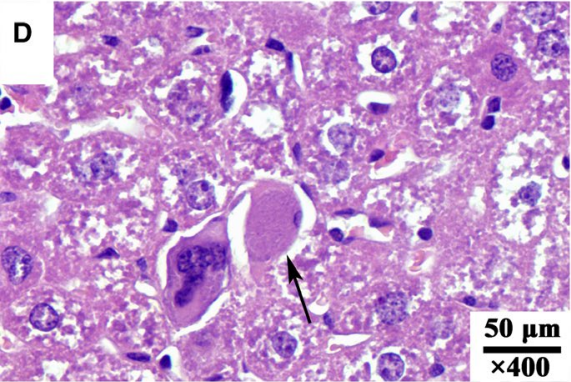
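This is a high-magnification view of liver with hepatocytes whose cytoplasm looks pale, granular and partly cleared, around round nuclei with visible nucleoli. In the middle lies an acidophilic body, a rounded, homogeneous pink body without visible nuclear detail. It is separated from its surroundings by a clear halo. Right beside it sits a larger cell with a dark, irregular, clumped nucleus and denser pink cytoplasm.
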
